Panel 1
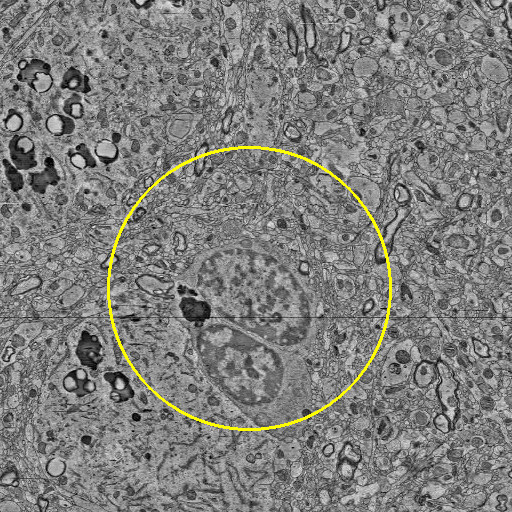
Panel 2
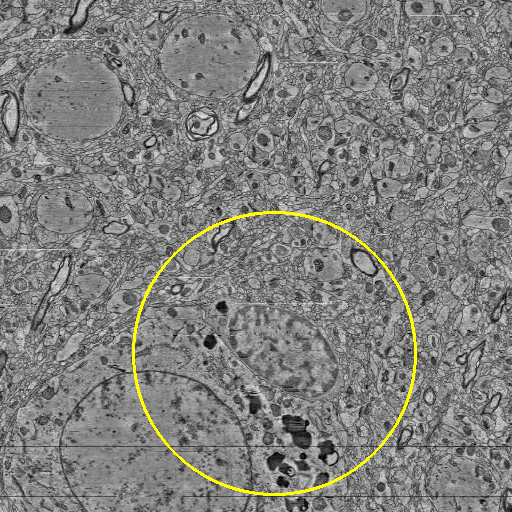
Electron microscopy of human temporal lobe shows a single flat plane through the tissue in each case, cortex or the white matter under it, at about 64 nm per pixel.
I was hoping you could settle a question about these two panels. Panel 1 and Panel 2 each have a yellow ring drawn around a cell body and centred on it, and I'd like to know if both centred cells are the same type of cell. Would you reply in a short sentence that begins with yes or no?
Yes, both are the same type of cell.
